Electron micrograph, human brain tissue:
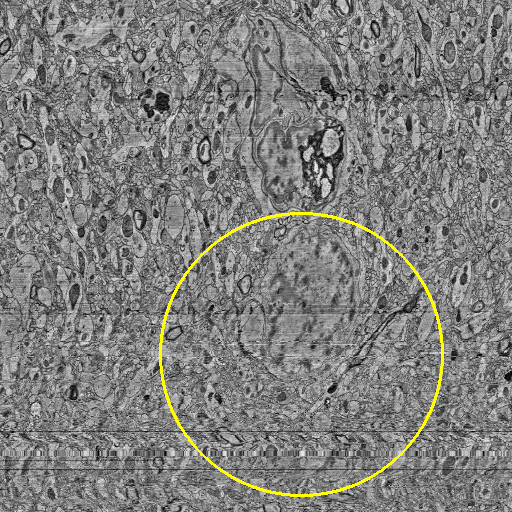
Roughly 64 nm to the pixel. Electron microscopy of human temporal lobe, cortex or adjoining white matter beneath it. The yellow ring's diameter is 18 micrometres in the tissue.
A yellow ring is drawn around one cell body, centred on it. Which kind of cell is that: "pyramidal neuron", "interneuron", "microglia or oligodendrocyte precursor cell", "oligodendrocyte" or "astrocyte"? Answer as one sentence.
It is an interneuron at the centre of the ring.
